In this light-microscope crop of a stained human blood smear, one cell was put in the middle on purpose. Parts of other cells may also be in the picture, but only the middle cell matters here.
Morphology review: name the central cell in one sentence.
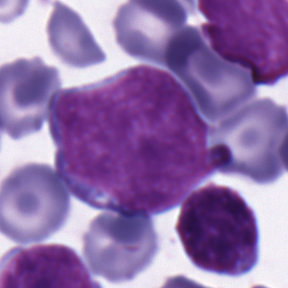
For this crop, the cell in the middle is a blast.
